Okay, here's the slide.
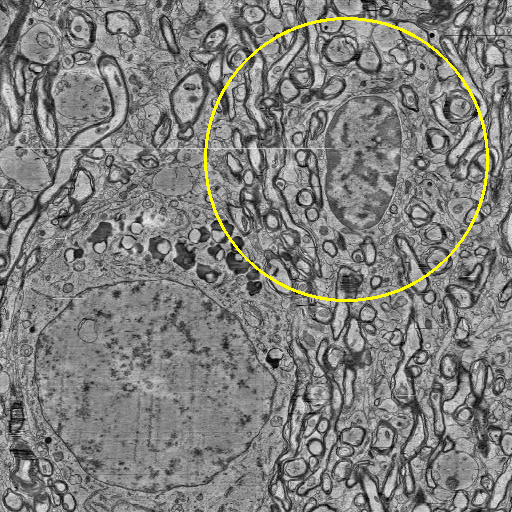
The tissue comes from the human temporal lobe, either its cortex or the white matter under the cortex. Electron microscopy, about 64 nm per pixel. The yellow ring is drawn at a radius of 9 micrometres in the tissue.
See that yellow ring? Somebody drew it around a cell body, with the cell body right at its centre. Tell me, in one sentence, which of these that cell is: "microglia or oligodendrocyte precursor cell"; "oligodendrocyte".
The cell in the middle of the ring is a microglial cell or oligodendrocyte precursor cell.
